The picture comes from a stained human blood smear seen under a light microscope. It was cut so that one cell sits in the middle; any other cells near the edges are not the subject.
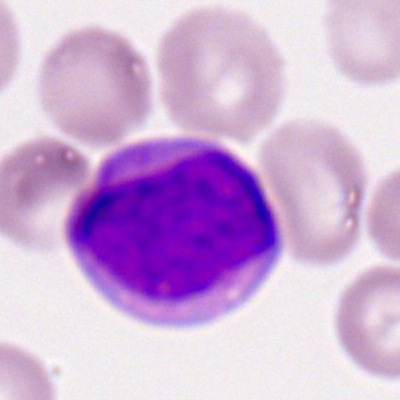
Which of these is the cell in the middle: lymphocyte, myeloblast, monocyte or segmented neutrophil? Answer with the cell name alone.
myeloblast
